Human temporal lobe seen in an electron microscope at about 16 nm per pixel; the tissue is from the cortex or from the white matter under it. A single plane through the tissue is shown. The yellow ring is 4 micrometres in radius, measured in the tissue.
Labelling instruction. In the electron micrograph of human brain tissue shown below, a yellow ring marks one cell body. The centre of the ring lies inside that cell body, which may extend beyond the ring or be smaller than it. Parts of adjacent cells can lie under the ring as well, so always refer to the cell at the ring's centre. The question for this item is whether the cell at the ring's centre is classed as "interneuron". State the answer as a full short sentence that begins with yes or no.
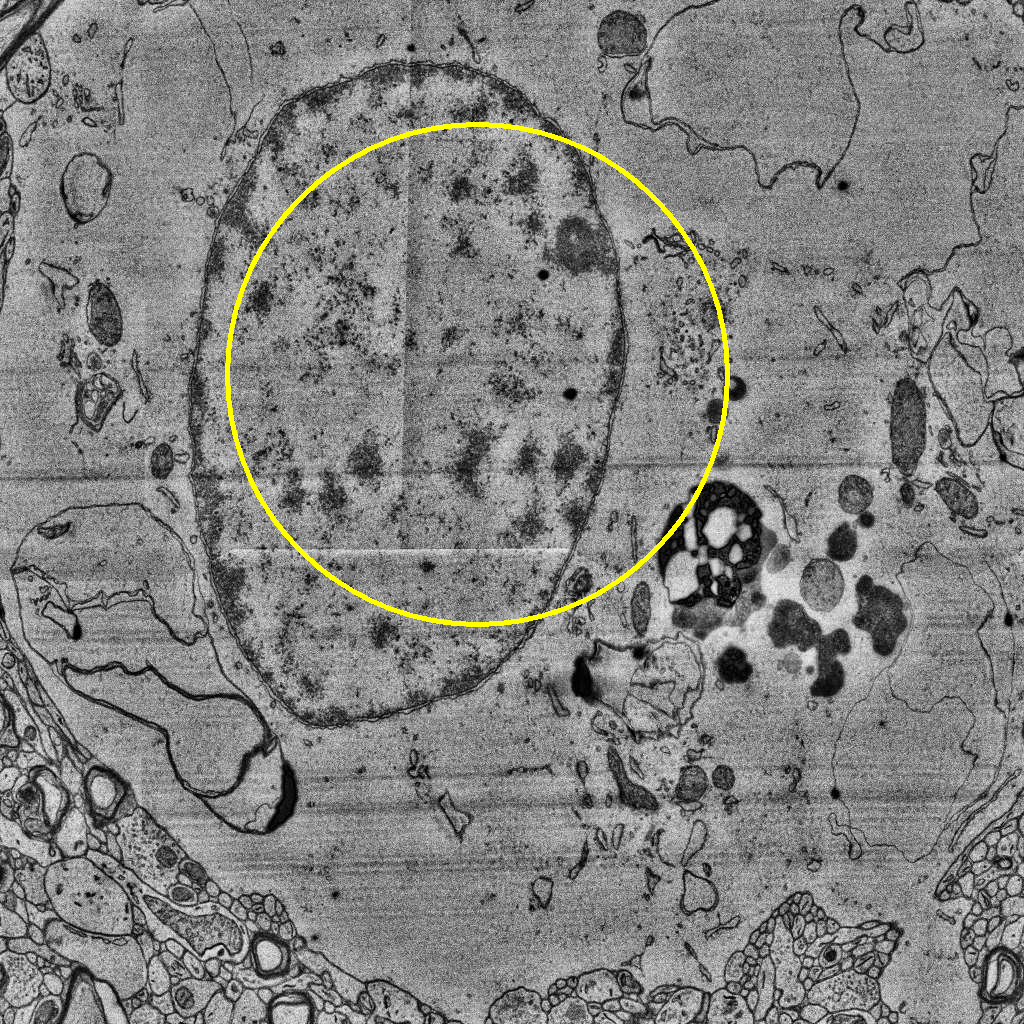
No, the cell at the ring's centre belongs to another class.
